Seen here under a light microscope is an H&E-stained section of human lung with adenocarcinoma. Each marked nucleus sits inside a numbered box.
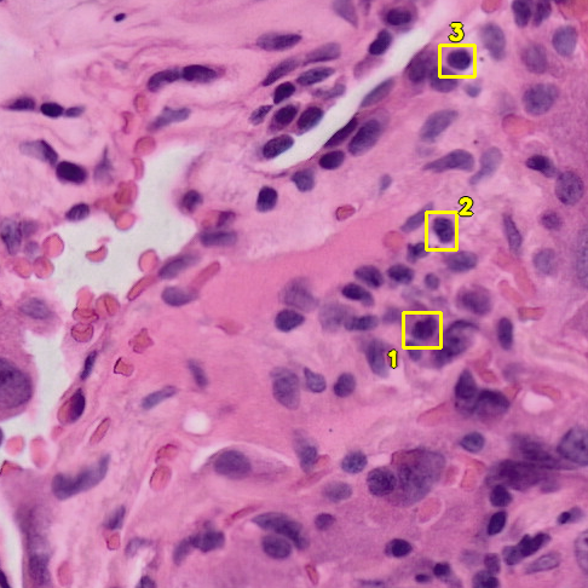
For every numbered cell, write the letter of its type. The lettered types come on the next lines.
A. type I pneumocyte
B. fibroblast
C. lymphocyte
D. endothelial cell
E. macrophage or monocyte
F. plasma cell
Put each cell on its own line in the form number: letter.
1: F
2: C
3: C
